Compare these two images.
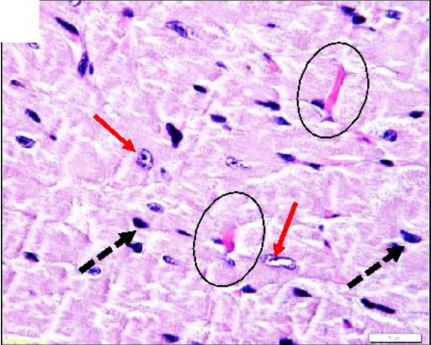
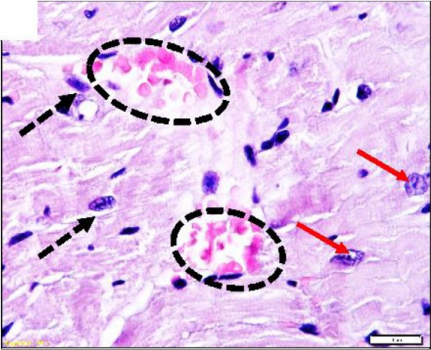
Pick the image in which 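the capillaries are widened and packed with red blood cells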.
the second image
